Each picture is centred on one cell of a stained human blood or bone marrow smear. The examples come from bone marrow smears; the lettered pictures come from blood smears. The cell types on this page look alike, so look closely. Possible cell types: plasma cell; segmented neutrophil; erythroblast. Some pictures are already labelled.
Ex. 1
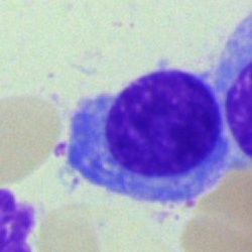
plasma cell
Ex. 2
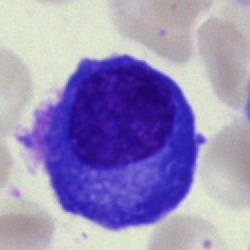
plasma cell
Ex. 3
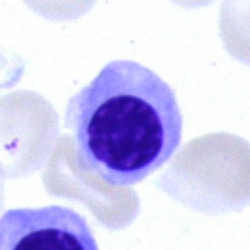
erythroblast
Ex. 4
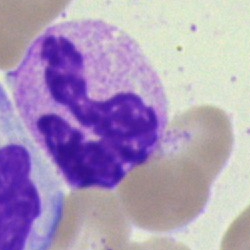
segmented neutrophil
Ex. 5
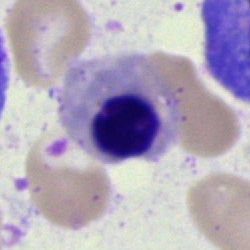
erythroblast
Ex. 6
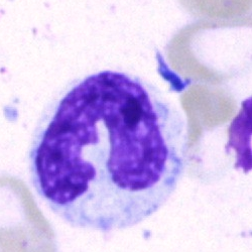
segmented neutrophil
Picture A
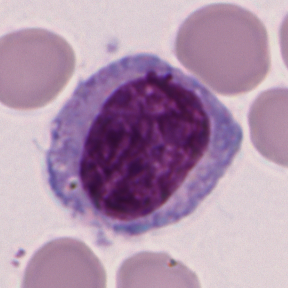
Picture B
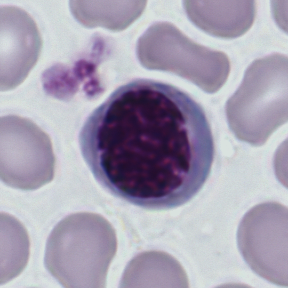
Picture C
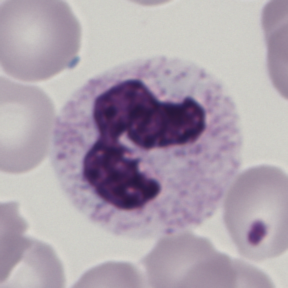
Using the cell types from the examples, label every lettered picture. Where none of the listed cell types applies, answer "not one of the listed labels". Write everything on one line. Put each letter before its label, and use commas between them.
A plasma cell, B erythroblast, C segmented neutrophil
